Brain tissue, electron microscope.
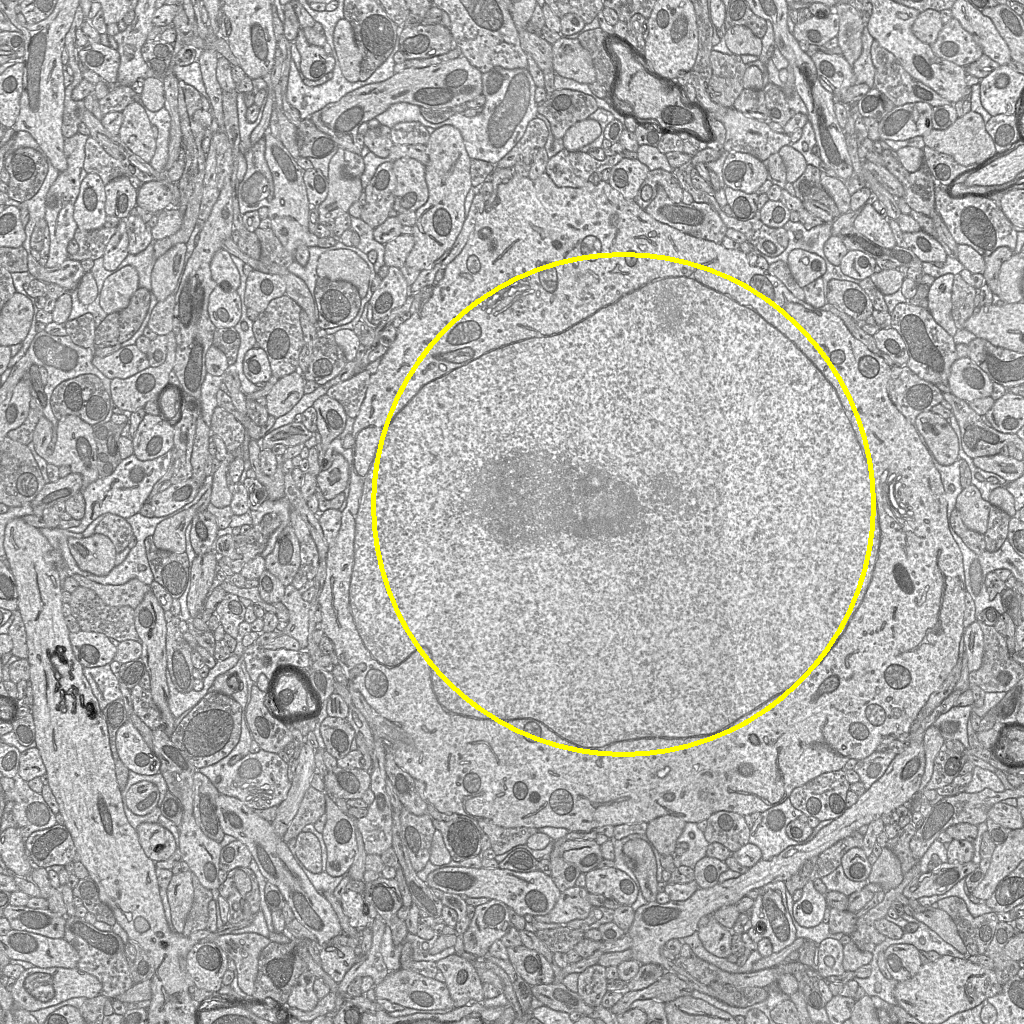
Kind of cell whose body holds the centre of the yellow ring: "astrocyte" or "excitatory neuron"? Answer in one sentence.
The ring's centre falls on an excitatory neuron.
